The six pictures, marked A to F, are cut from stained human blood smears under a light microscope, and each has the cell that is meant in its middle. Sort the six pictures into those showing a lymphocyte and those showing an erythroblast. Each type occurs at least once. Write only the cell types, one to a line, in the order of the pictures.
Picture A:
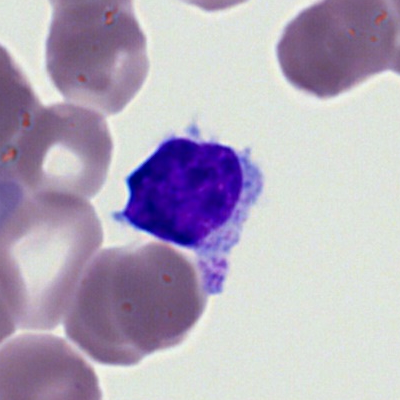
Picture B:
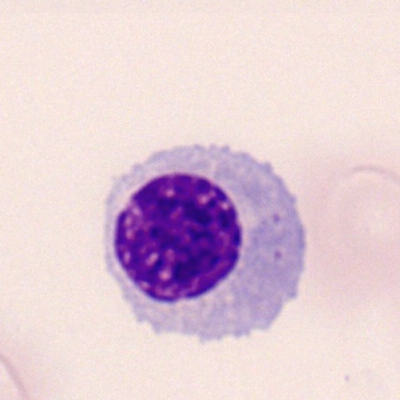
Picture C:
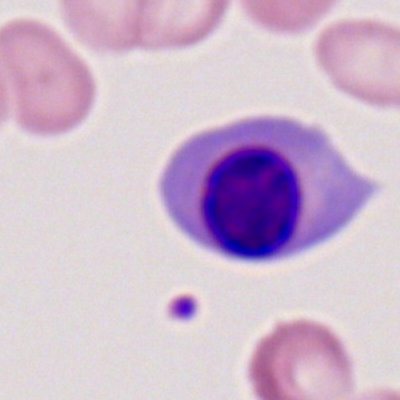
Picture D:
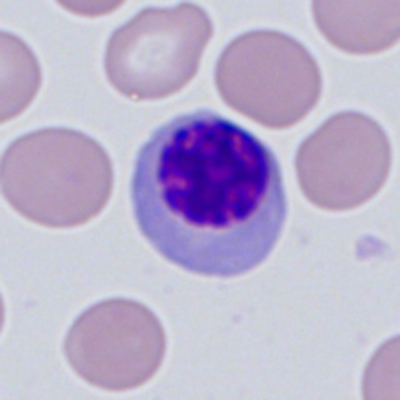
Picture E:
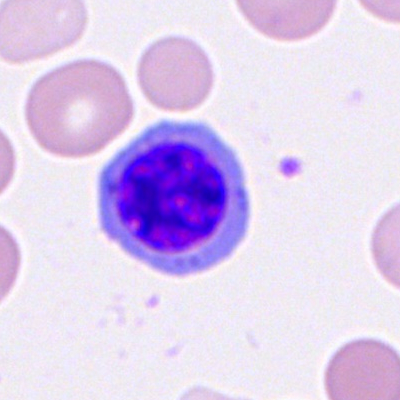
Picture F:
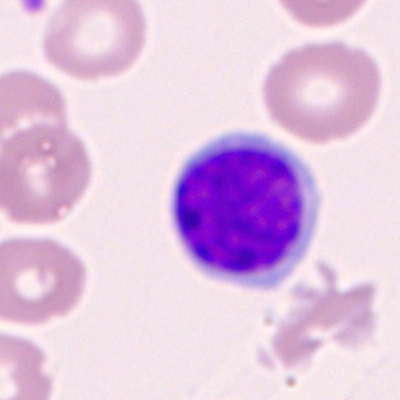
lymphocyte
erythroblast
erythroblast
erythroblast
erythroblast
lymphocyte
